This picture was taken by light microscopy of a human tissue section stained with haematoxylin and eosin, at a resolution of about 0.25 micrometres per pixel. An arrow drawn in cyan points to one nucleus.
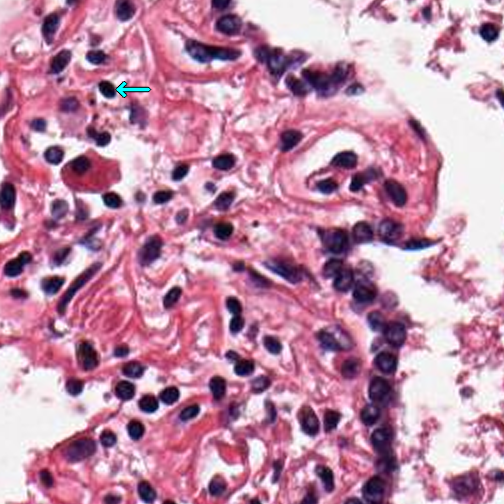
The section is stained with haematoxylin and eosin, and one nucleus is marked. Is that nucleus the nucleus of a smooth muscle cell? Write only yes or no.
no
